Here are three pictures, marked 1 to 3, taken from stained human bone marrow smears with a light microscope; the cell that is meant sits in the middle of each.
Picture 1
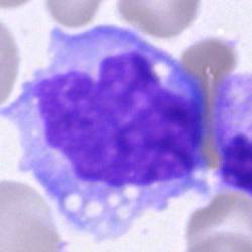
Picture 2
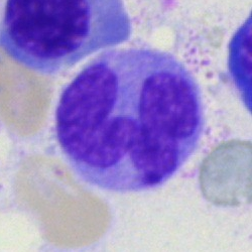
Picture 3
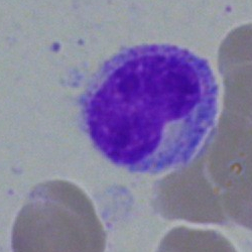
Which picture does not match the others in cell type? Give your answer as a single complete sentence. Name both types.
The others show monocytes, but picture 3 shows a metamyelocyte.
